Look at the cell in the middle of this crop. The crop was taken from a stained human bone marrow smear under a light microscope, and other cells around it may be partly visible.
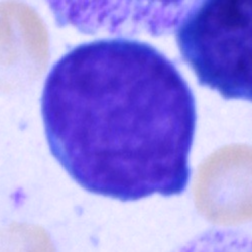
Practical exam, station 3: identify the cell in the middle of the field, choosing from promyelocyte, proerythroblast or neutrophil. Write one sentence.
In the middle of this smear crop is a proerythroblast.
